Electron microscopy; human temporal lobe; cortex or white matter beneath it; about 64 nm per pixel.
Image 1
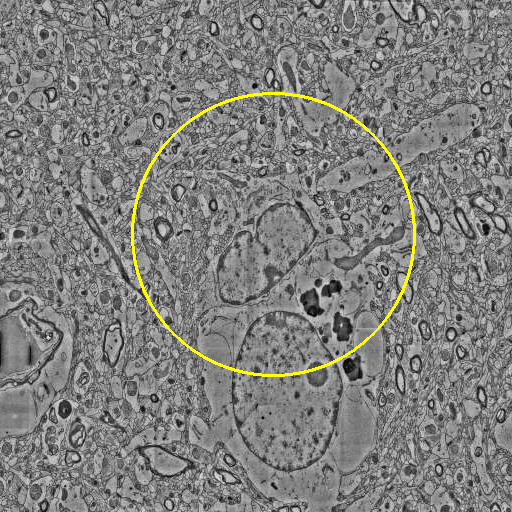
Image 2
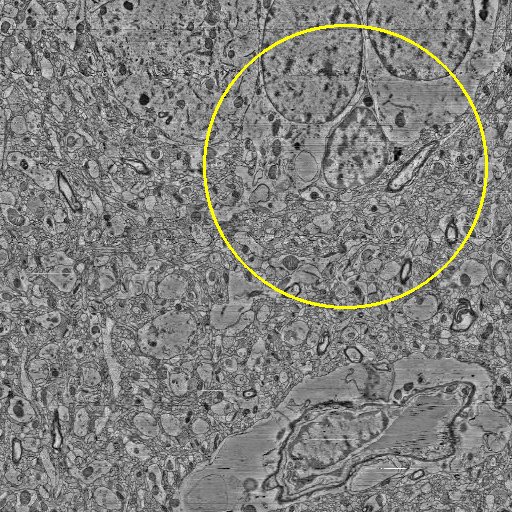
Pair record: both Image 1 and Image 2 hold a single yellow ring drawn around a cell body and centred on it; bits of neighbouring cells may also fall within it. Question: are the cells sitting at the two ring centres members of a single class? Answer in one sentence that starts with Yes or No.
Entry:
Yes, both ring-centre cells in Image 1 and Image 2 are members of one class.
